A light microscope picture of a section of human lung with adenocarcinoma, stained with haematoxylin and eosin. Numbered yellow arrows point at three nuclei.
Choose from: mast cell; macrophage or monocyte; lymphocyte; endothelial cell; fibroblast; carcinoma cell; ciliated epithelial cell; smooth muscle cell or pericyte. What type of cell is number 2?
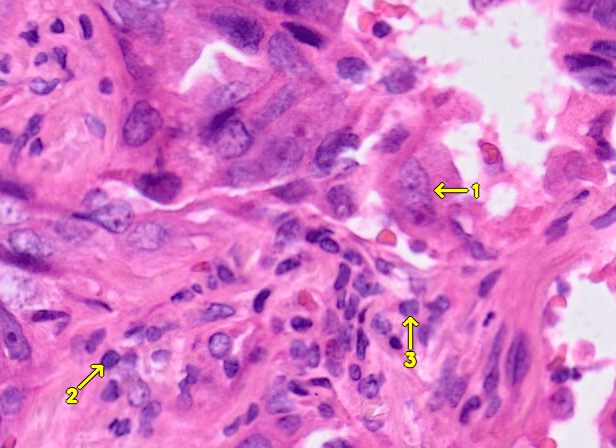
lymphocyte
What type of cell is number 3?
lymphocyte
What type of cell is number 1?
carcinoma cell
